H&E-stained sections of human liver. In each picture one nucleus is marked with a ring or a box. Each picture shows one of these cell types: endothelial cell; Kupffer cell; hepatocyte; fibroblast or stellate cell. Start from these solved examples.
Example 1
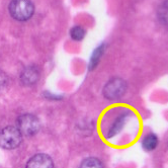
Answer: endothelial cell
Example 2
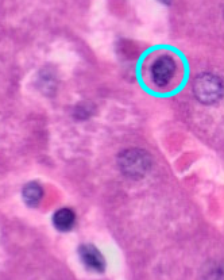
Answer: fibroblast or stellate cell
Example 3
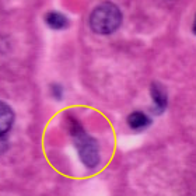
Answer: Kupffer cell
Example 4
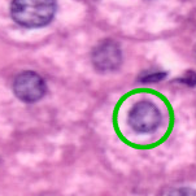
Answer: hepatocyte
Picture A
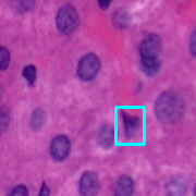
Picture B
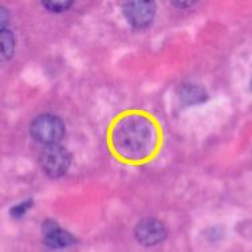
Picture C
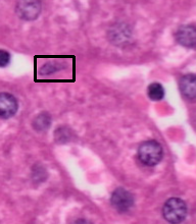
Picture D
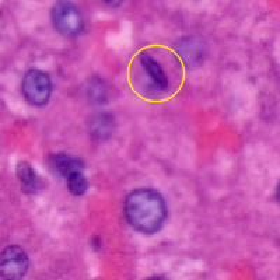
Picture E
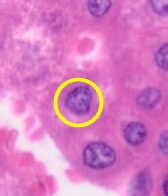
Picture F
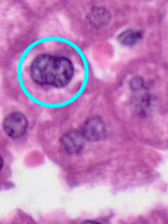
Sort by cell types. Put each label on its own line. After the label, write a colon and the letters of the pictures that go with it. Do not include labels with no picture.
endothelial cell: A
hepatocyte: B, E, F
fibroblast or stellate cell: C, D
